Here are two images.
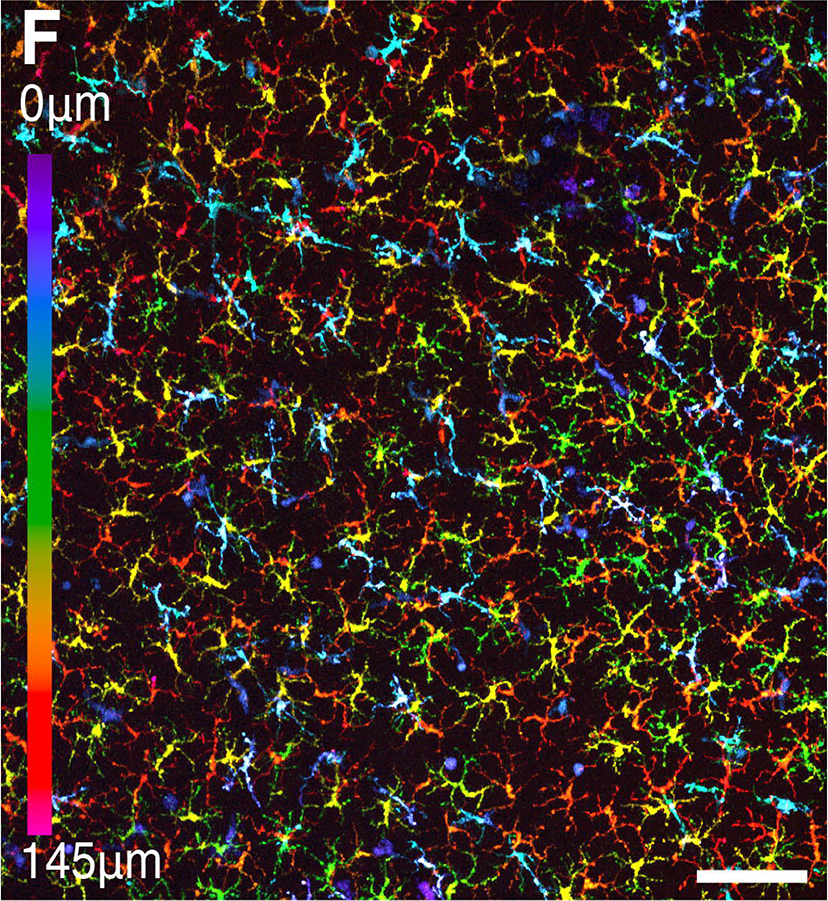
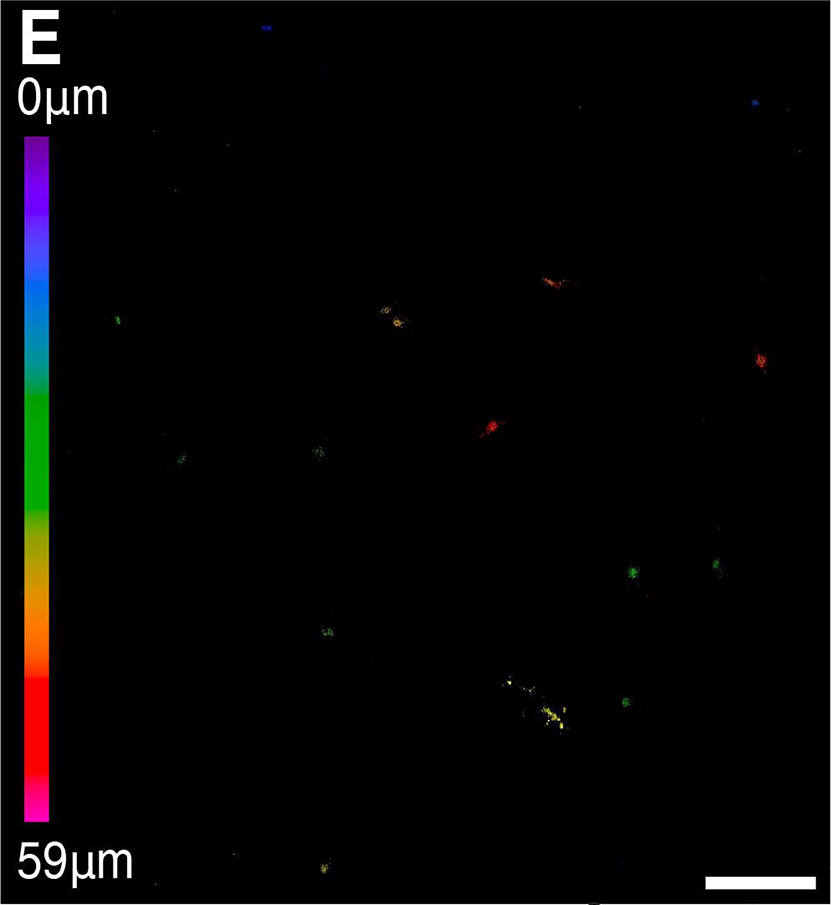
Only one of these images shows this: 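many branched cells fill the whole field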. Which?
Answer: The first image.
